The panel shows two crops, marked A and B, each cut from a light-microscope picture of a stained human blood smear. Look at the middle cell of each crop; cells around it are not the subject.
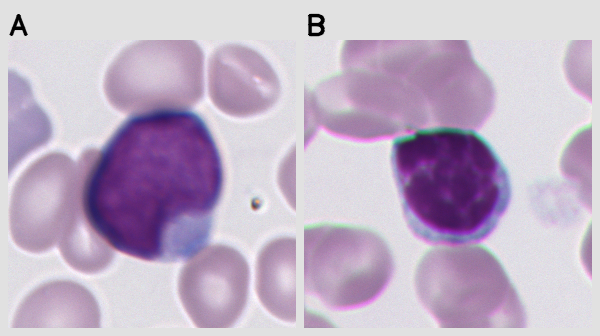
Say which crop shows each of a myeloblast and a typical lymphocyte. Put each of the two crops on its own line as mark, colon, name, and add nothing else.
A: myeloblast
B: typical lymphocyte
